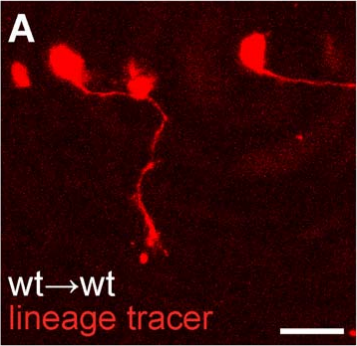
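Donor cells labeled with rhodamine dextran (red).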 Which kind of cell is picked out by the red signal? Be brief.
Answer: Neurons.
